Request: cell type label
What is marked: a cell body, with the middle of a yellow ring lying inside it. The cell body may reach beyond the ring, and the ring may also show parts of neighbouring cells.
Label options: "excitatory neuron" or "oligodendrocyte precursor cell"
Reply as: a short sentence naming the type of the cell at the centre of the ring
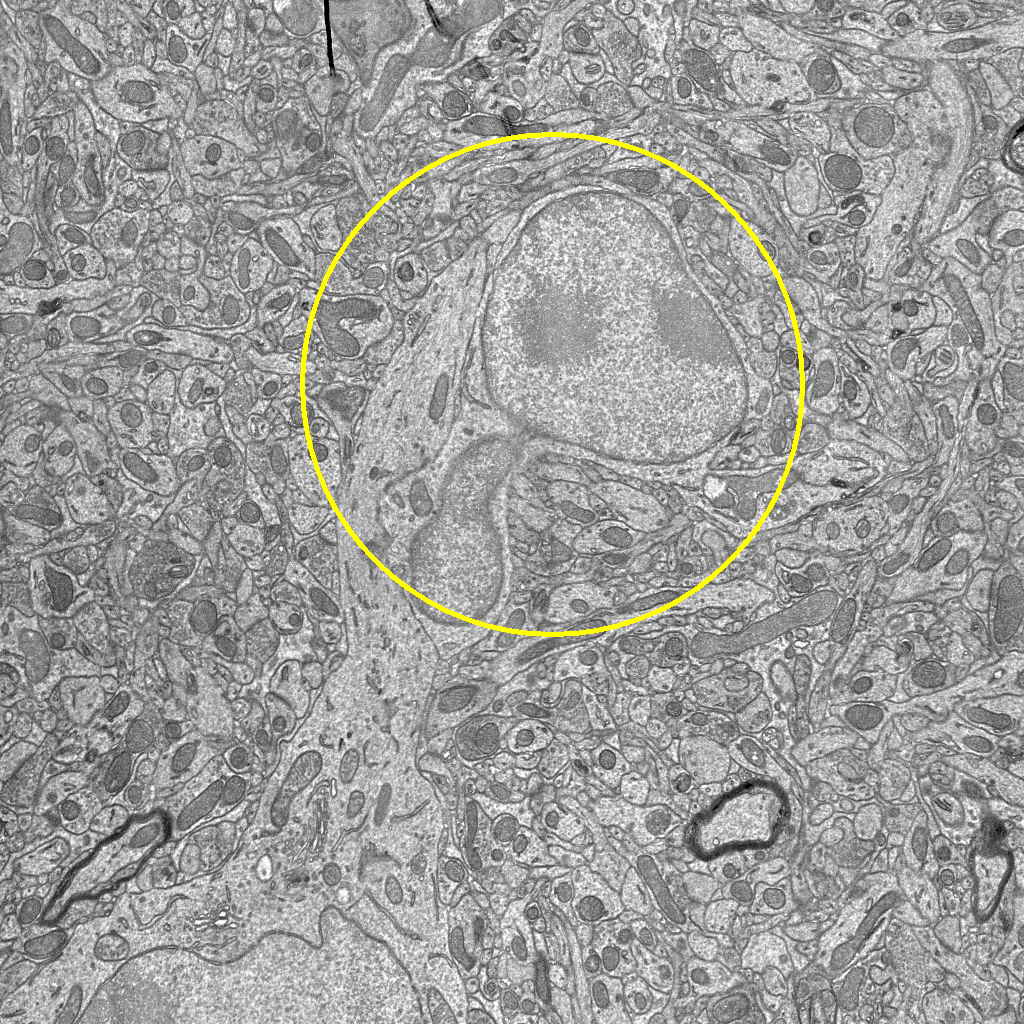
The marked cell body is that of an oligodendrocyte precursor cell.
